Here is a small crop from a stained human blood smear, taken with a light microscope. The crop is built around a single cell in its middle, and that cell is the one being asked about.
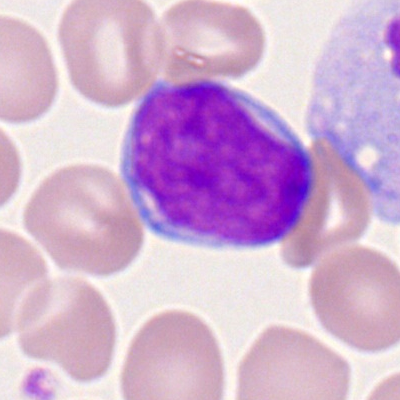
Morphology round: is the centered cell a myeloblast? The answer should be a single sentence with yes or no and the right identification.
Yes, the cell centred in the field of view is a myeloblast.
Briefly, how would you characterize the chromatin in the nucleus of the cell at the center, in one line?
The chromatin pattern here is coarse and clumped.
